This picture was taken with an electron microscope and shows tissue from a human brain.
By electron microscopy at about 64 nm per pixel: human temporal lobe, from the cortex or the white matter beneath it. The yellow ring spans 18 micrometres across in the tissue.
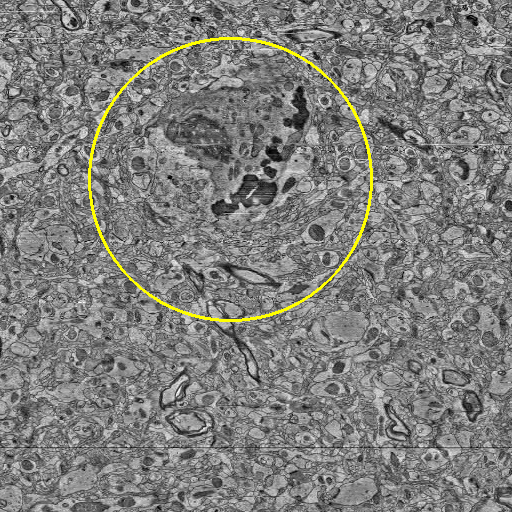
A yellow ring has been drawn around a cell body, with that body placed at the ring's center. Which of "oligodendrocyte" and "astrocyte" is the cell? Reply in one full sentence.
In this picture, an oligodendrocyte is the cell at the center of the yellow ring.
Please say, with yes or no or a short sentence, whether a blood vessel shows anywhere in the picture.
No, a blood vessel is absent from this picture.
